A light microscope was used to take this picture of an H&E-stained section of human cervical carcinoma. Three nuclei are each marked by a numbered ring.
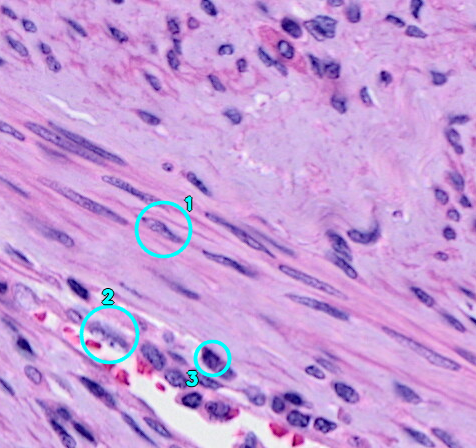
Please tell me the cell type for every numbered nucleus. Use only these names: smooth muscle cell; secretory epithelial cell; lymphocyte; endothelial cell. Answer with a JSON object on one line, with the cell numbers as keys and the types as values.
{"1": "smooth muscle cell", "2": "endothelial cell", "3": "lymphocyte"}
